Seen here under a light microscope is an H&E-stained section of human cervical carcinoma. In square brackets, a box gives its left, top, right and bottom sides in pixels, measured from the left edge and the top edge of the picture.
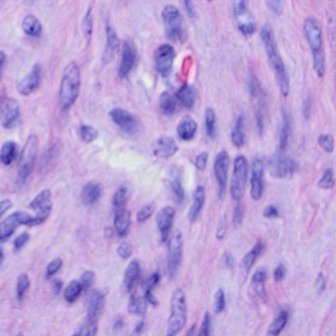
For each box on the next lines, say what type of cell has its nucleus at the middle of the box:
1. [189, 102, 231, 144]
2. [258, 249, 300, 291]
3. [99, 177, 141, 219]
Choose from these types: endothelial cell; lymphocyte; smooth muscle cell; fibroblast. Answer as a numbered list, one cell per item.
1. fibroblast
2. smooth muscle cell
3. smooth muscle cell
